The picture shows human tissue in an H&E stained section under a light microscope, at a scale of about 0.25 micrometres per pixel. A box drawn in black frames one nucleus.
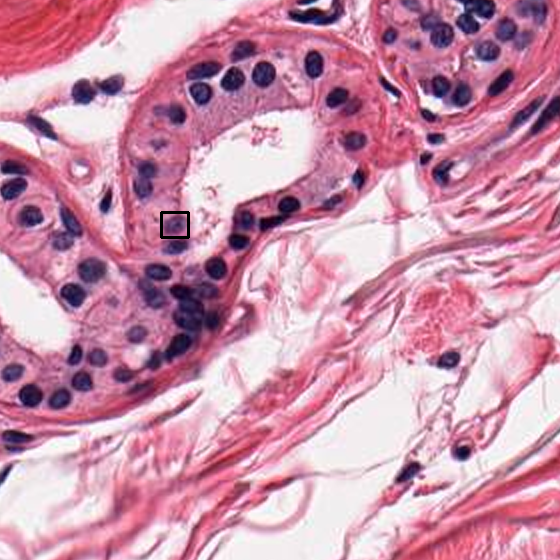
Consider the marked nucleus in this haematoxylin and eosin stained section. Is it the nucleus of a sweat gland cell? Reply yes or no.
yes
